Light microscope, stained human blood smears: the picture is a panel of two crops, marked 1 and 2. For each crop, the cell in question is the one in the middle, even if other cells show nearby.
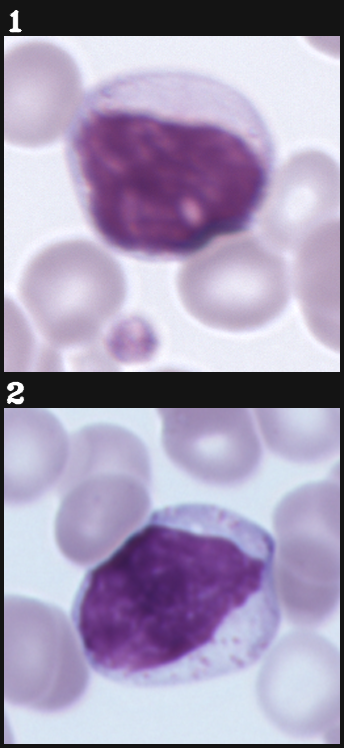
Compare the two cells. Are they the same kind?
yes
